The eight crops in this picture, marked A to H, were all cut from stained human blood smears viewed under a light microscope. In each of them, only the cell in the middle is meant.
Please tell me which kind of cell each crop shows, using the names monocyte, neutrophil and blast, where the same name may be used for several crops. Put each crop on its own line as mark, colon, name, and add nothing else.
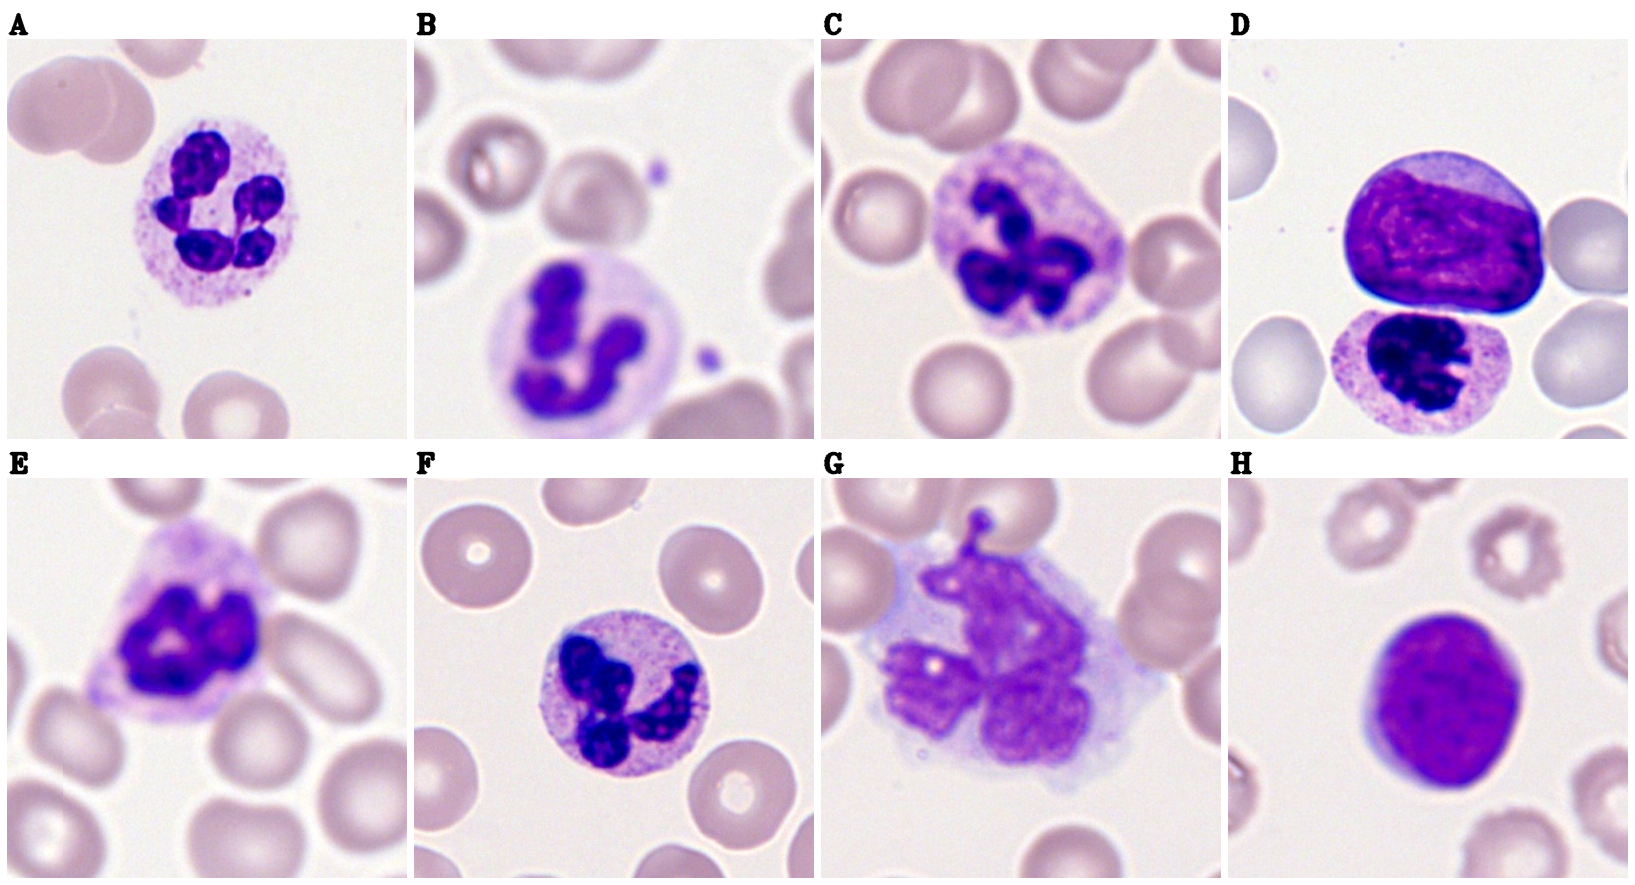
A: neutrophil
B: neutrophil
C: neutrophil
D: blast
E: neutrophil
F: neutrophil
G: monocyte
H: blast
